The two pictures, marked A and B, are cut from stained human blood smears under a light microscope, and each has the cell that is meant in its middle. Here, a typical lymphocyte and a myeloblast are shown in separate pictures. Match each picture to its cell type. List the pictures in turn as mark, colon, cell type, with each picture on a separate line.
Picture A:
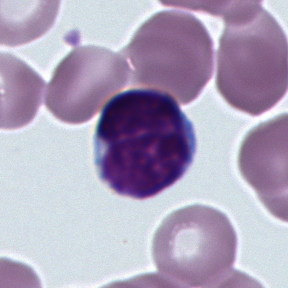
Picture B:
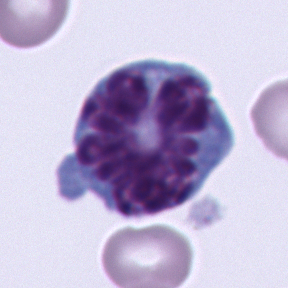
A: typical lymphocyte
B: myeloblast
